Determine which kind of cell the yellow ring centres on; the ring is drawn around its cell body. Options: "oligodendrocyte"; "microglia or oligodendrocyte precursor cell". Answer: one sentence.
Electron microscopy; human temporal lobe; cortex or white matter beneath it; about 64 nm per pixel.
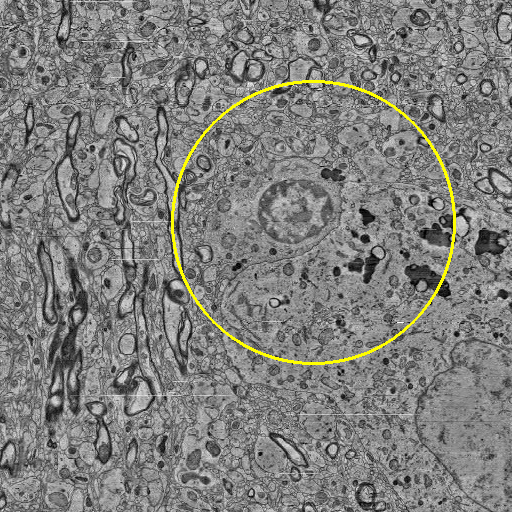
The ring centres on an oligodendrocyte.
